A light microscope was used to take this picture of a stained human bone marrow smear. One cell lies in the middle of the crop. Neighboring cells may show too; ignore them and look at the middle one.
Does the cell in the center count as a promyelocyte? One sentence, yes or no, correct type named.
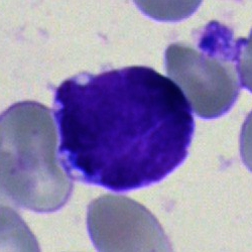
No, the middle cell is not a promyelocyte, it being a blast.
